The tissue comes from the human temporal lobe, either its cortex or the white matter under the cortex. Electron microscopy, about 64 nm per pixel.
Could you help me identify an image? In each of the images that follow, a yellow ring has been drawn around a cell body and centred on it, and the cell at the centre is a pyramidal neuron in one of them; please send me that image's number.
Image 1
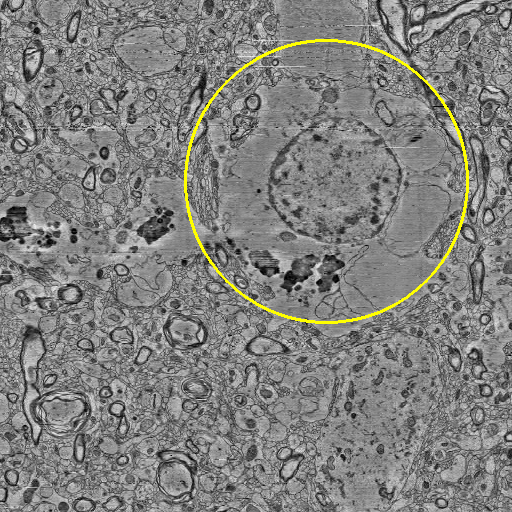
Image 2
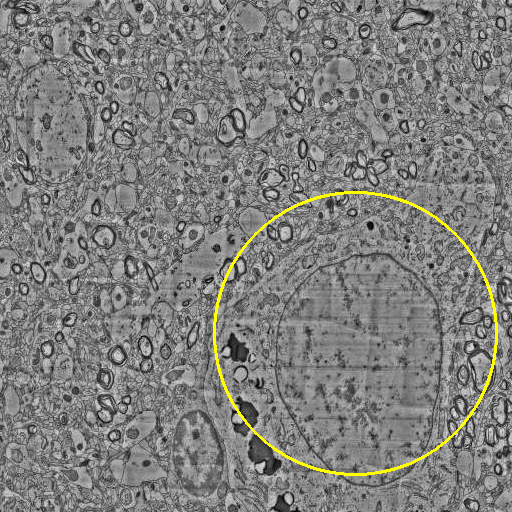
2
